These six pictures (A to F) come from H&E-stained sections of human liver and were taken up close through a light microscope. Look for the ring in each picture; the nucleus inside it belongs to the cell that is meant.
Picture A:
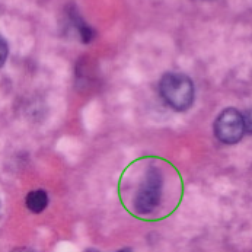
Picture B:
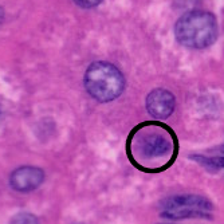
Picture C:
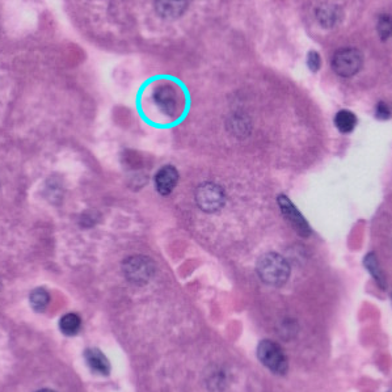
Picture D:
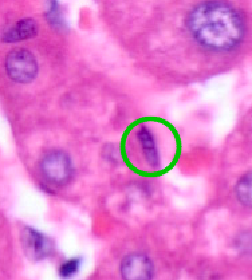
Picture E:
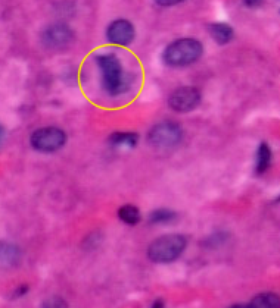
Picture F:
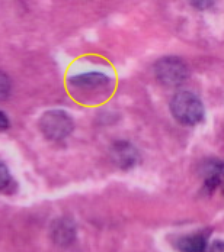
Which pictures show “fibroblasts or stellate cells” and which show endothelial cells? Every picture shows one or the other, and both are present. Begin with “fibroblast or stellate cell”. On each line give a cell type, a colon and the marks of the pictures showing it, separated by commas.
fibroblast or stellate cell: A, B, D, E
endothelial cell: C, F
